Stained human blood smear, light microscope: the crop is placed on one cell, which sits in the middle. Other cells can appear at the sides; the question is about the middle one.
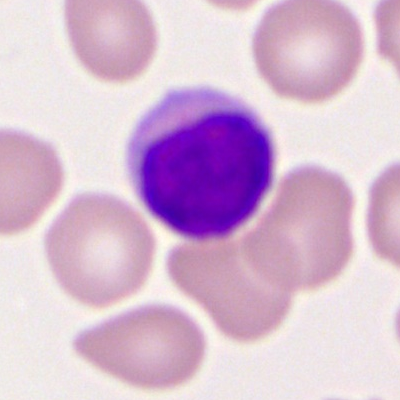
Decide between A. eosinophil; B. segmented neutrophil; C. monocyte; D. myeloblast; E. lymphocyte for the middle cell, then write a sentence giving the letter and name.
The cell in the middle is a lymphocyte, so option E is correct.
